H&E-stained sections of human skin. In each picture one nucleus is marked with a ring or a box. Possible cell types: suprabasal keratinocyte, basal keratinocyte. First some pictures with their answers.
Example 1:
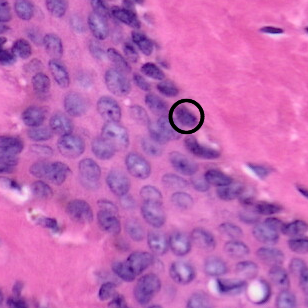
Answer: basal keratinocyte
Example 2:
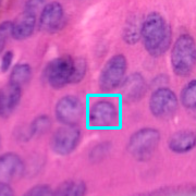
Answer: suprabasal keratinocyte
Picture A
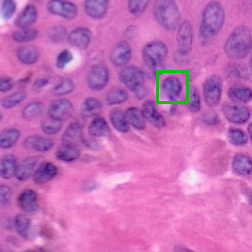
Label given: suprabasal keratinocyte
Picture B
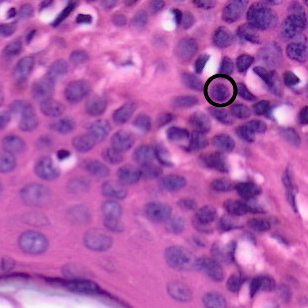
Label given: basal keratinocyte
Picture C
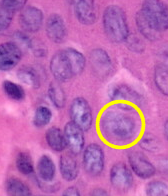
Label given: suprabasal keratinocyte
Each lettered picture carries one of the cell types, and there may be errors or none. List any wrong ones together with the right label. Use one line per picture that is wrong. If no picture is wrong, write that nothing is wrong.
A: not suprabasal keratinocyte but basal keratinocyte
